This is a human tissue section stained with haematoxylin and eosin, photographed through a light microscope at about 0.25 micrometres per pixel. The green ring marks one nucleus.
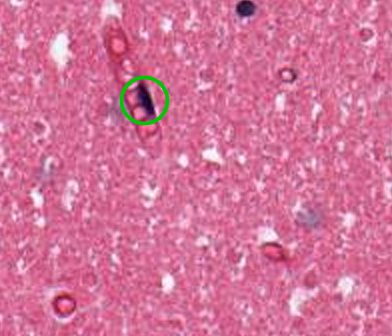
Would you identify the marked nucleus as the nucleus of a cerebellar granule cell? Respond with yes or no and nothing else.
no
